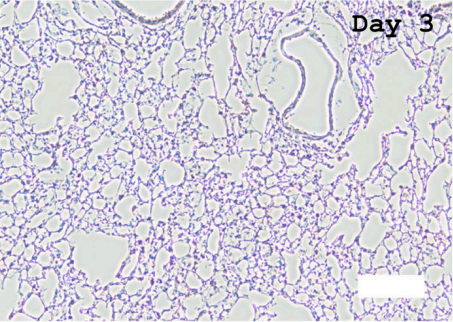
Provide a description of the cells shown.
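This is lung parenchyma with a fine lace of thin alveolar walls around open, empty air spaces. A small airway or vessel with a thin wall crosses the upper right. The walls carry scattered small blue-purple nuclei and show hardly any brown stain.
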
